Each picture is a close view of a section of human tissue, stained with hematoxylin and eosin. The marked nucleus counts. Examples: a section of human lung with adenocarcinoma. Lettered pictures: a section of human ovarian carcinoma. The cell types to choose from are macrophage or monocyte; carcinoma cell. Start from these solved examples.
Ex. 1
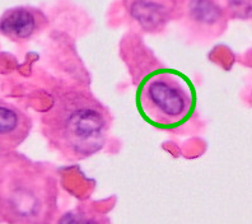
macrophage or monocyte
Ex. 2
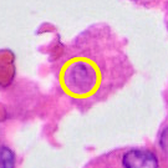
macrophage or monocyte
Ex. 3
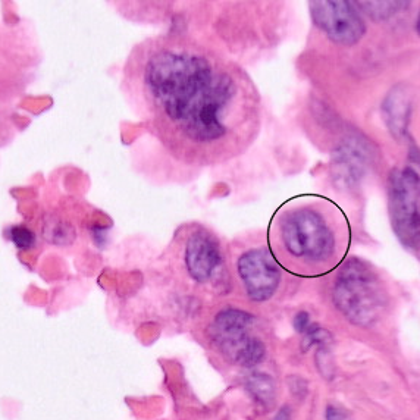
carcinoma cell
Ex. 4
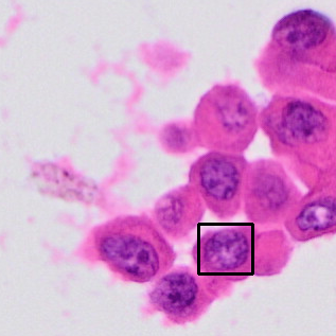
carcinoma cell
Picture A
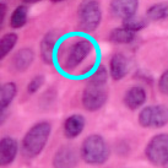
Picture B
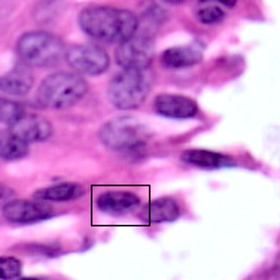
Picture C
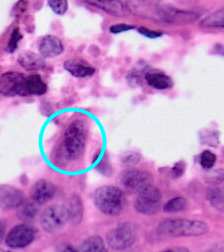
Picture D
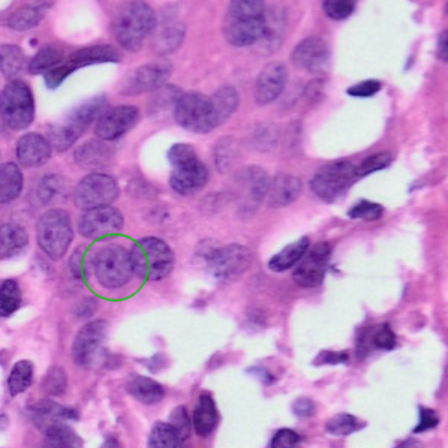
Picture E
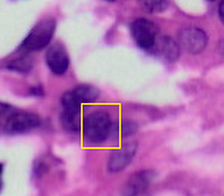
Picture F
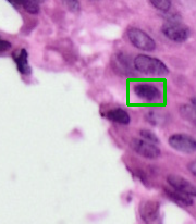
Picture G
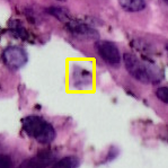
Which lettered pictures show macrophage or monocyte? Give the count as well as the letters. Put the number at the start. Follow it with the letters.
2, namely B, G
